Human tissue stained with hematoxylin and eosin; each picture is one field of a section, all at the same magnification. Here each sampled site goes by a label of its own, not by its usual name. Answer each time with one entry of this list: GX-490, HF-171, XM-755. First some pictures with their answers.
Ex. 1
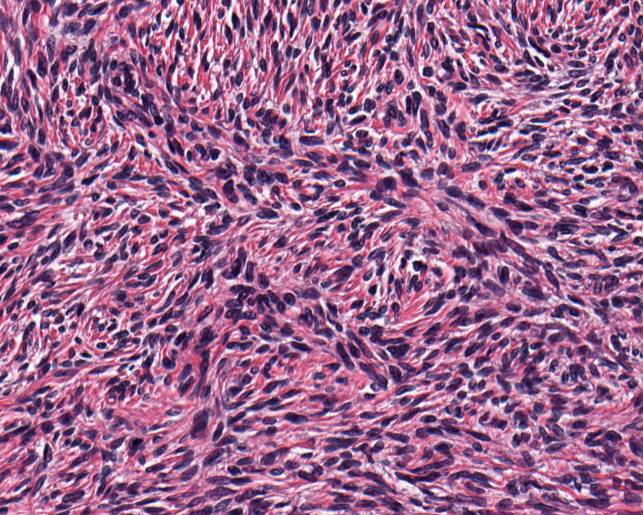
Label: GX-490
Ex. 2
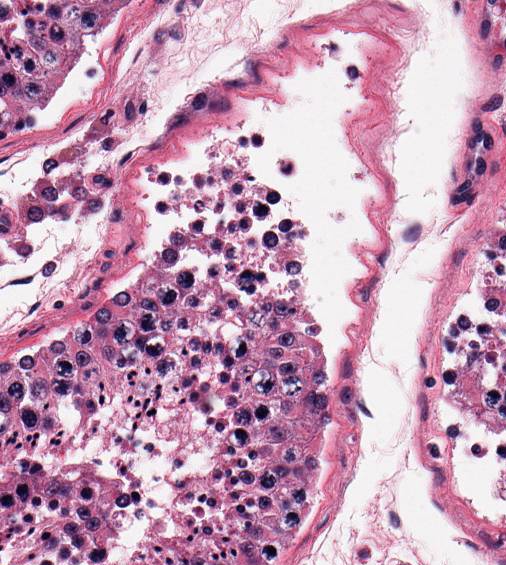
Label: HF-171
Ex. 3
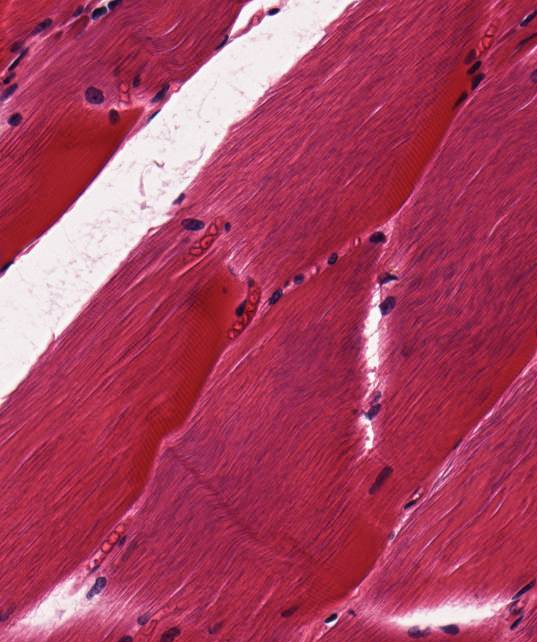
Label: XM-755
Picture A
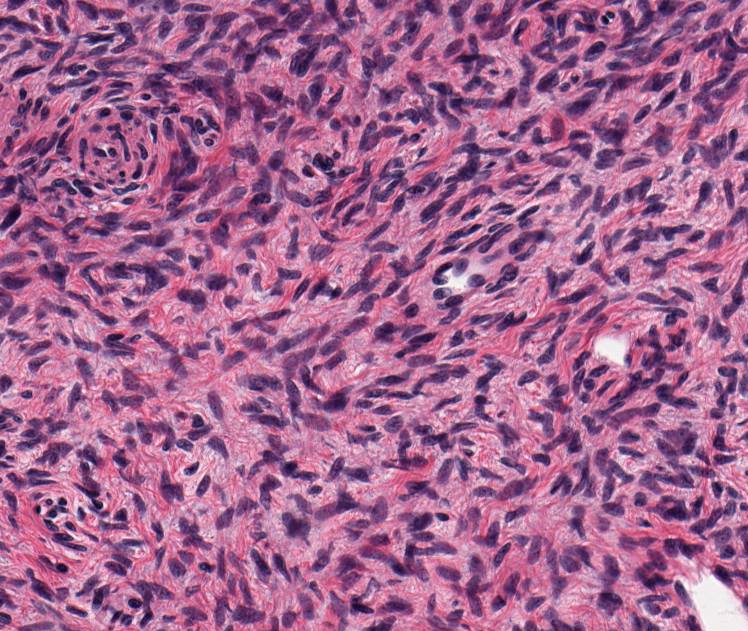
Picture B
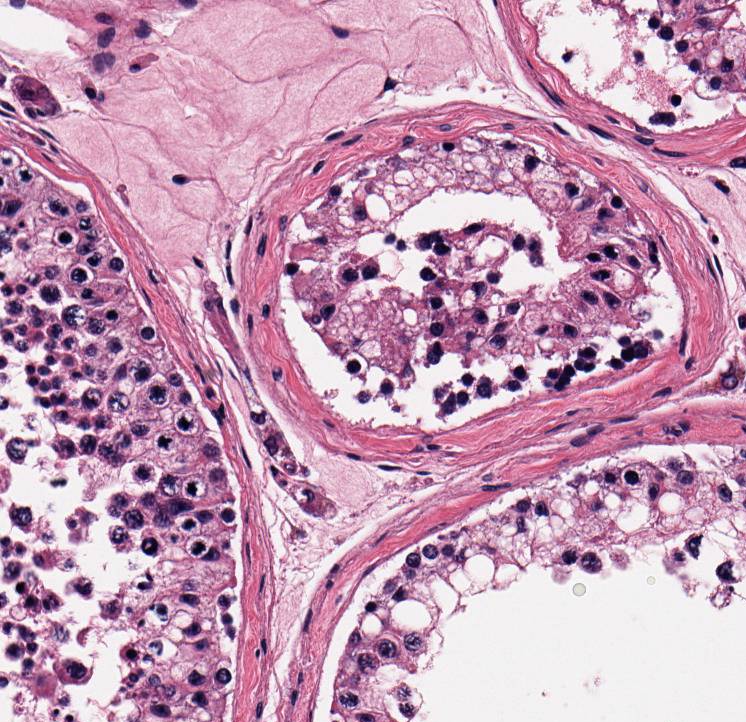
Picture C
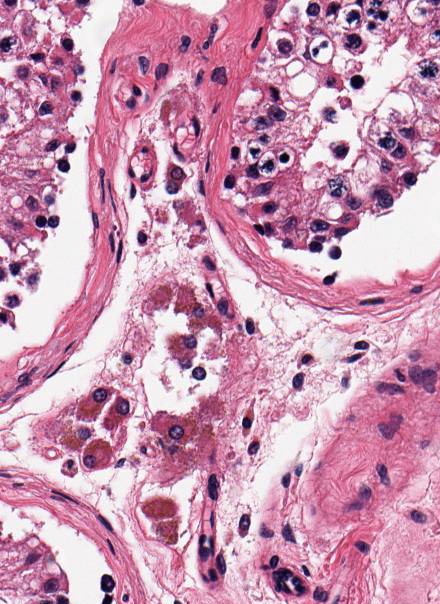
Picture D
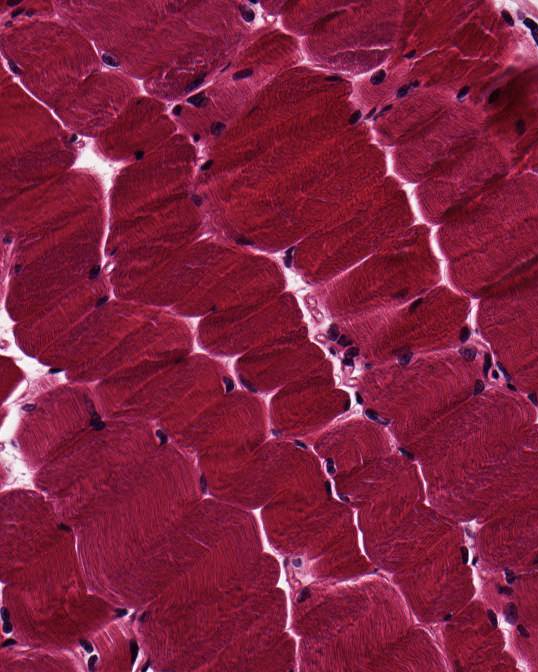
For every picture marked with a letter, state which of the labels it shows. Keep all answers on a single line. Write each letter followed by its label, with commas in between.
A GX-490, B HF-171, C HF-171, D XM-755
